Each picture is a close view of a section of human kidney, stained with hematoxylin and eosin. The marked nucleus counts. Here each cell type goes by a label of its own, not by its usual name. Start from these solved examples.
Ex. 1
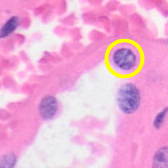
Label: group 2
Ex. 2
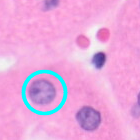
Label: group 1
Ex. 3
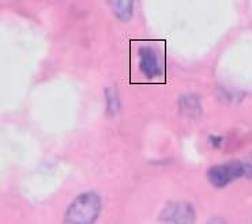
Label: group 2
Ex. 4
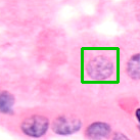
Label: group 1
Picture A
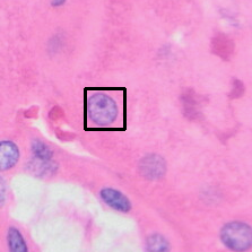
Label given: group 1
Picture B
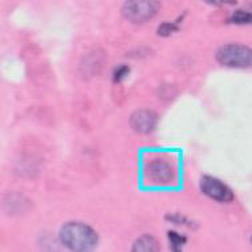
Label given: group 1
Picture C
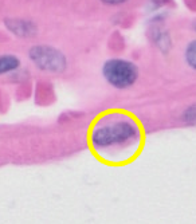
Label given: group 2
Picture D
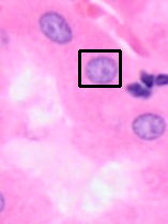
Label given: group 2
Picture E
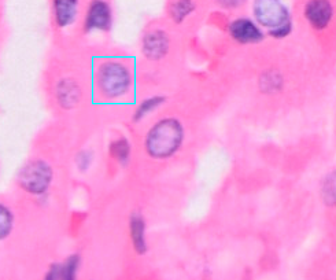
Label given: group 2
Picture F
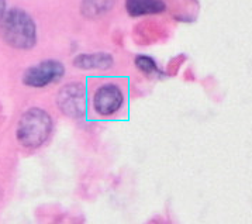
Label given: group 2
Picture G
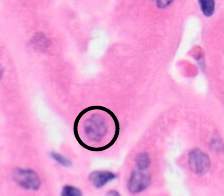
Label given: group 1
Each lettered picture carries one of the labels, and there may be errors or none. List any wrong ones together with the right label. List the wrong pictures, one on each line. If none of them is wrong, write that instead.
B: change group 1 to group 2
D: change group 2 to group 1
